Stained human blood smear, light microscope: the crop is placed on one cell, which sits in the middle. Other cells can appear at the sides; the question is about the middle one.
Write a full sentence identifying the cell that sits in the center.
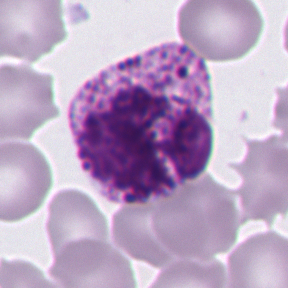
The cell in the middle of the field of view is a basophil.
